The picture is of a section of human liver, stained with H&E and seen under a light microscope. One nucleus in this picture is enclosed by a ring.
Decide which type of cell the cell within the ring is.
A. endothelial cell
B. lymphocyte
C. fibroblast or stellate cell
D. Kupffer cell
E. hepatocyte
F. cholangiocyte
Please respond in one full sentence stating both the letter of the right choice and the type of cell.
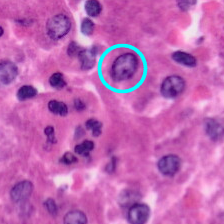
With the cell within the ring being a hepatocyte, option E is correct.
